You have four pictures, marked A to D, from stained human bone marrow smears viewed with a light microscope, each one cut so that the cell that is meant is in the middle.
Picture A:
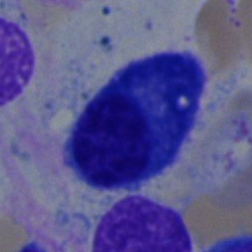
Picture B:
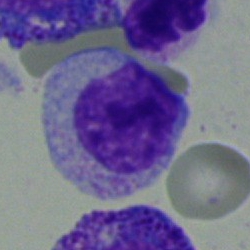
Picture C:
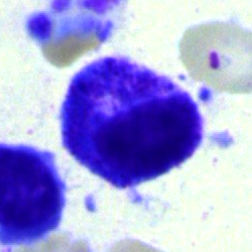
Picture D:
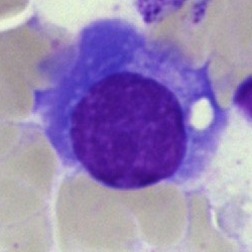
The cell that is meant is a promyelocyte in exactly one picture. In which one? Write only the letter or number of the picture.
C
